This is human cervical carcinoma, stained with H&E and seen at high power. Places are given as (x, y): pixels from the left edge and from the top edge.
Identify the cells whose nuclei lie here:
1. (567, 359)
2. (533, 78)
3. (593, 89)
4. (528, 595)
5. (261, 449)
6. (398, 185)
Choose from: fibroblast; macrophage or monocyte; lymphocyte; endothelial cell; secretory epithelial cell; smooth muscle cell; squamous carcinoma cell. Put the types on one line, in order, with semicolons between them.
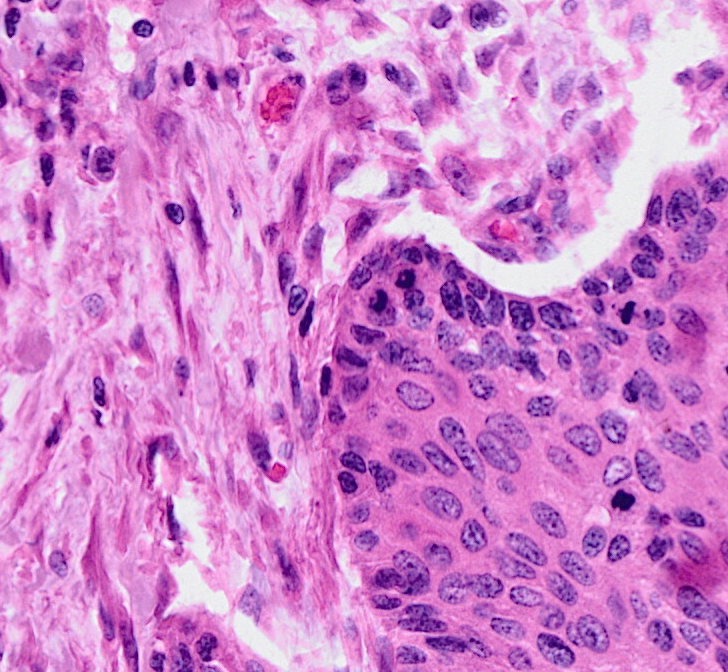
squamous carcinoma cell; fibroblast; fibroblast; squamous carcinoma cell; endothelial cell; fibroblast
